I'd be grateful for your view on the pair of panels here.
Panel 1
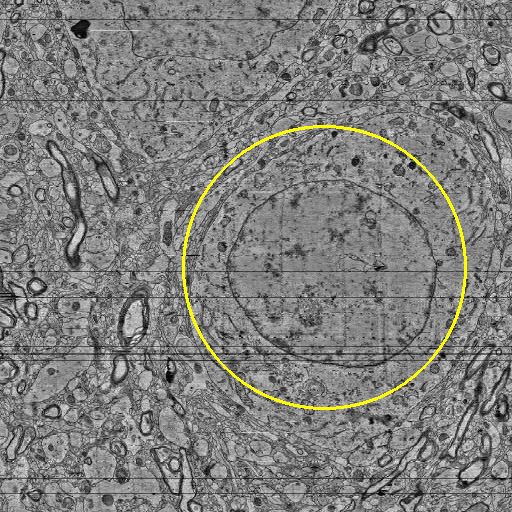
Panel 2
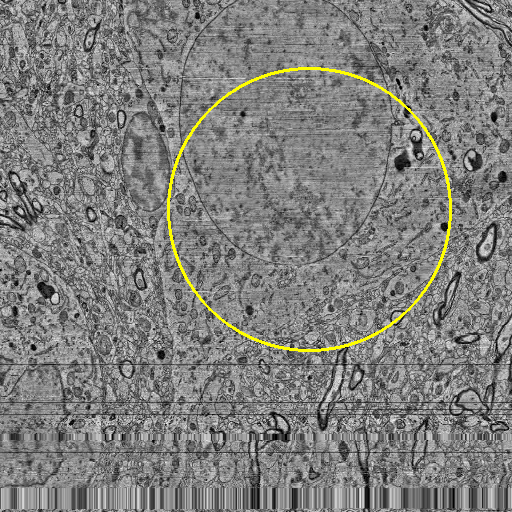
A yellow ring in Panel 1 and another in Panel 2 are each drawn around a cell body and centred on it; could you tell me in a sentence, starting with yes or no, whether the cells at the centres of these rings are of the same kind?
Yes, they are the same kind of cell.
